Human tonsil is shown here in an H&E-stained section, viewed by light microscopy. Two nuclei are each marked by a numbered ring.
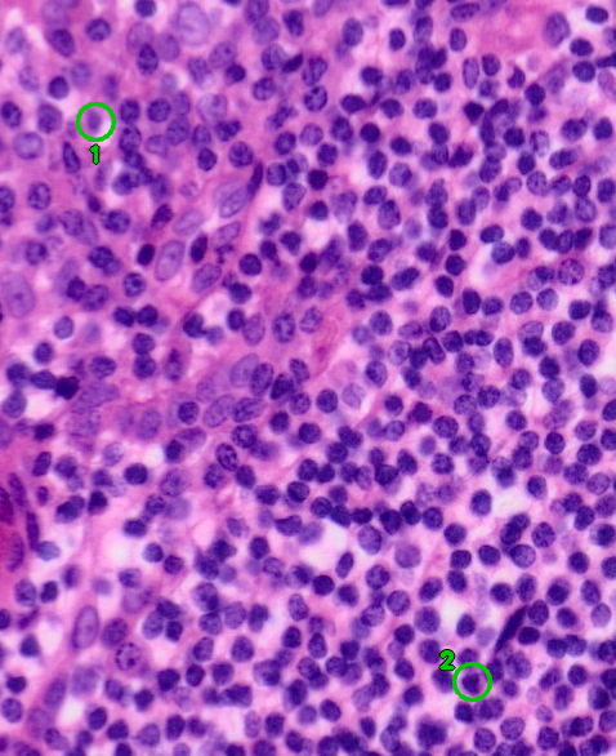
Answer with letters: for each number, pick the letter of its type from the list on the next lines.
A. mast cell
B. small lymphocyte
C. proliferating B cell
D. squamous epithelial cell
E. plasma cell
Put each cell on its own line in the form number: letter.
1: E
2: B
